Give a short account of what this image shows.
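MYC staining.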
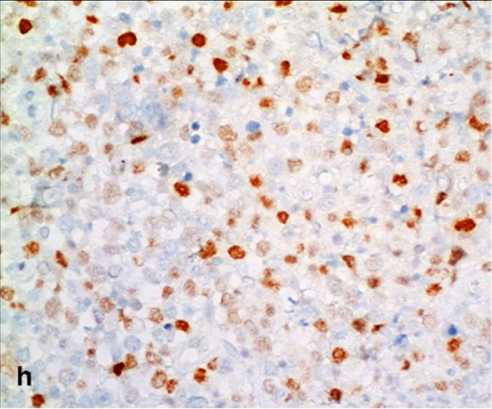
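Large lymphoma cells lie in sheets, and many of their nuclei are stained brown while the cytoplasm stays unstained. The nuclear staining varies in strength, from weak pale brown to strong dark brown. Other nuclei are stained only blue by the counterstain.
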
